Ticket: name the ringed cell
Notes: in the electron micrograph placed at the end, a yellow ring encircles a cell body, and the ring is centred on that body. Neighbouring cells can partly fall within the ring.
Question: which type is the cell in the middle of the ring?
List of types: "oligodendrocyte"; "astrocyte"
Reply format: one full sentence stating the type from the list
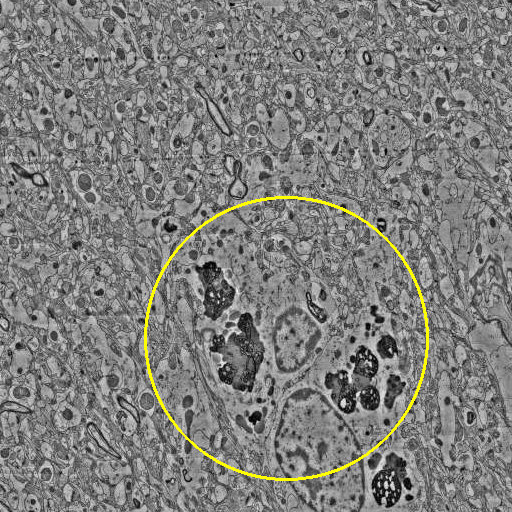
The cell sitting at the centre of the yellow ring is an astrocyte.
